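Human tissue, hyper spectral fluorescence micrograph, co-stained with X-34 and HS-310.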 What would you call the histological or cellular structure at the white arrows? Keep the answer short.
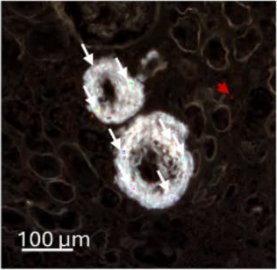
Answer: Amyloid.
